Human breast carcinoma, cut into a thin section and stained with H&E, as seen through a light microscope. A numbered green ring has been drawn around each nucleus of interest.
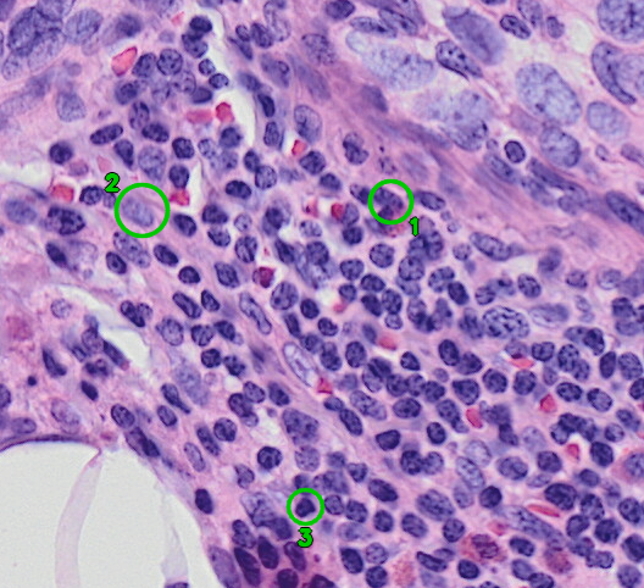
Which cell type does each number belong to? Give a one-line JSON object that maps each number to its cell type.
{"1": "lymphocyte", "2": "endothelial cell", "3": "lymphocyte"}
